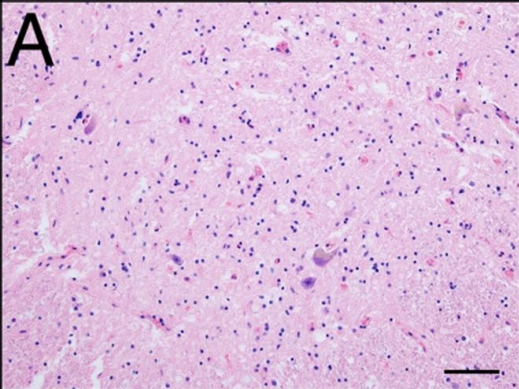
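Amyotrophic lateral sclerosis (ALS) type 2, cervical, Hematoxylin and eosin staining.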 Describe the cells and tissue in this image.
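This is the anterior horn of the spinal cord, with only scattered large neurons left among many small glial nuclei. The remaining neurons are angular, with purple-pink cytoplasm and some short processes. The small dark round nuclei are spread fairly evenly and densely through the field. The background is pink, fibrillary neuropil with a few small clear spaces and vessels.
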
